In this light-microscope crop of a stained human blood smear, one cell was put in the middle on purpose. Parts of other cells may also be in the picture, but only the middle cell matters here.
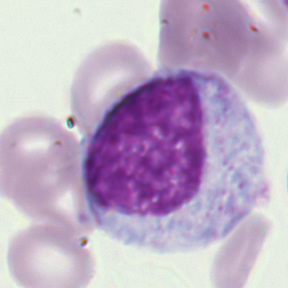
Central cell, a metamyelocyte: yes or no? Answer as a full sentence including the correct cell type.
No, what the centre of the crop shows is a myelocyte, not a metamyelocyte.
